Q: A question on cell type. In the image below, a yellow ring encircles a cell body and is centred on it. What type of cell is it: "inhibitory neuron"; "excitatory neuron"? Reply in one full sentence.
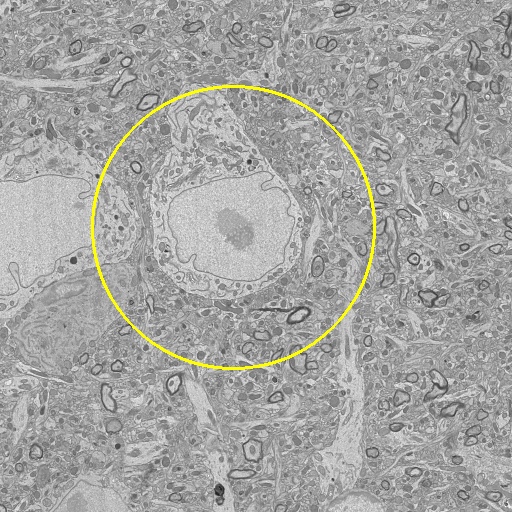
It is an inhibitory neuron whose cell body sits at the centre of the yellow ring in the image.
